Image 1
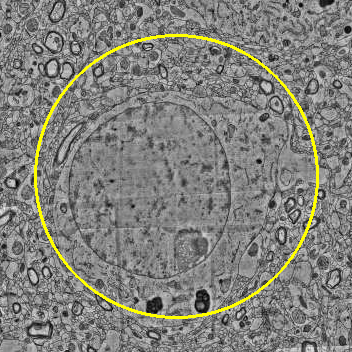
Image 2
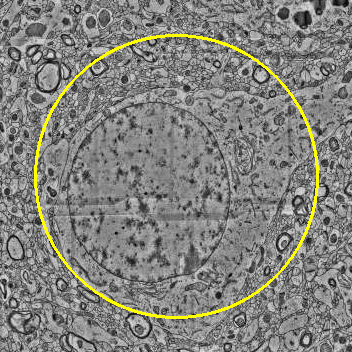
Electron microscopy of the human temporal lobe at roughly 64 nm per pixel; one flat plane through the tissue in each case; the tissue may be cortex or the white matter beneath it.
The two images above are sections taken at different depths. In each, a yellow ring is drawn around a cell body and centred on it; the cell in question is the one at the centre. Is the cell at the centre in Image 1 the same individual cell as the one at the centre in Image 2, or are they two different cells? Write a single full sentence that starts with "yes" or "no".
Yes, both circles in yellow pick out the same cell.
